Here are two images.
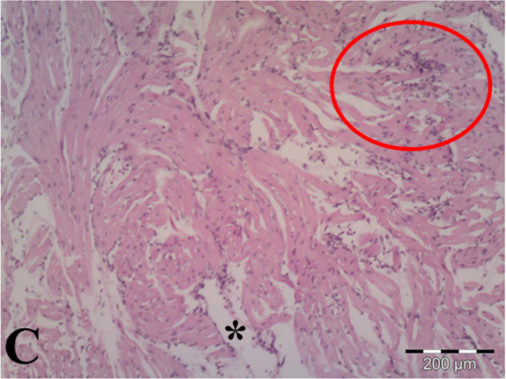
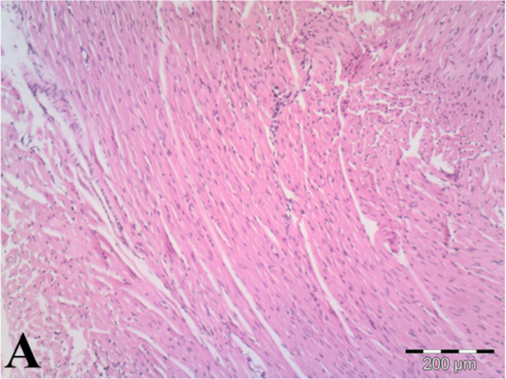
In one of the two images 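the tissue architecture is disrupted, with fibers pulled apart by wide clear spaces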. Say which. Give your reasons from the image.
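The first image. First image: fiber bundles are disorganized and separated by broad pale gaps. Second image: fibers run closely packed in orderly parallel bundles with only narrow clefts.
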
